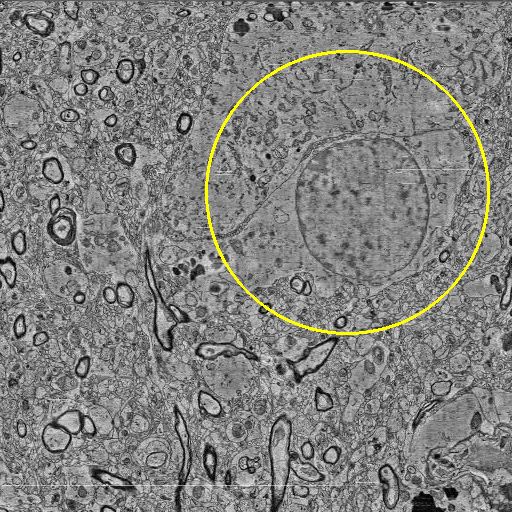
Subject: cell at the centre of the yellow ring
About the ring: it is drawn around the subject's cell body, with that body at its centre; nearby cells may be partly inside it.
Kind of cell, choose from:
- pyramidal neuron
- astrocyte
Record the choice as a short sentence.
The subject cell is an astrocyte.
